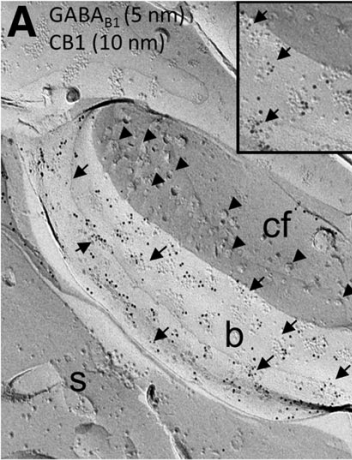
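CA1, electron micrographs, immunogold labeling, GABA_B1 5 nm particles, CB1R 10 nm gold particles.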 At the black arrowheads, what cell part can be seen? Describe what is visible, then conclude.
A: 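Synaptic vesicles. The arrowheads point to small round pits and bumps clustered on the cross-fractured face inside the profile. These round profiles are much smaller than the profile itself and packed together.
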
